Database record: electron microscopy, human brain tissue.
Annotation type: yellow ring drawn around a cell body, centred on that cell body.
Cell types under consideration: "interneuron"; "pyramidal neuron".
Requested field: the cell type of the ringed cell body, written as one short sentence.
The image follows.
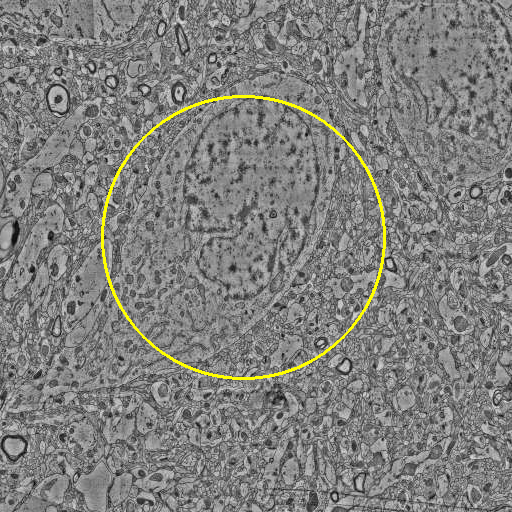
The ringed cell body represents an interneuron.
